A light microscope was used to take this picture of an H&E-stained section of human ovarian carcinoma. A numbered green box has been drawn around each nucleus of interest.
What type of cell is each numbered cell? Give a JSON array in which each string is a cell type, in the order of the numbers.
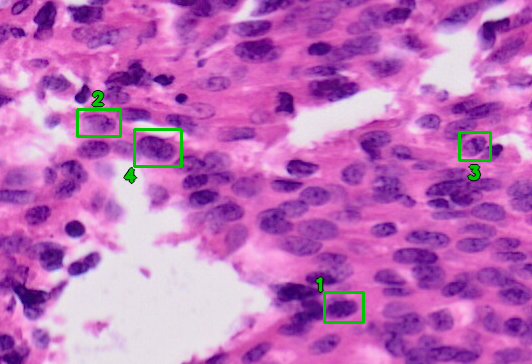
["carcinoma cell", "carcinoma cell", "macrophage or monocyte", "carcinoma cell"]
